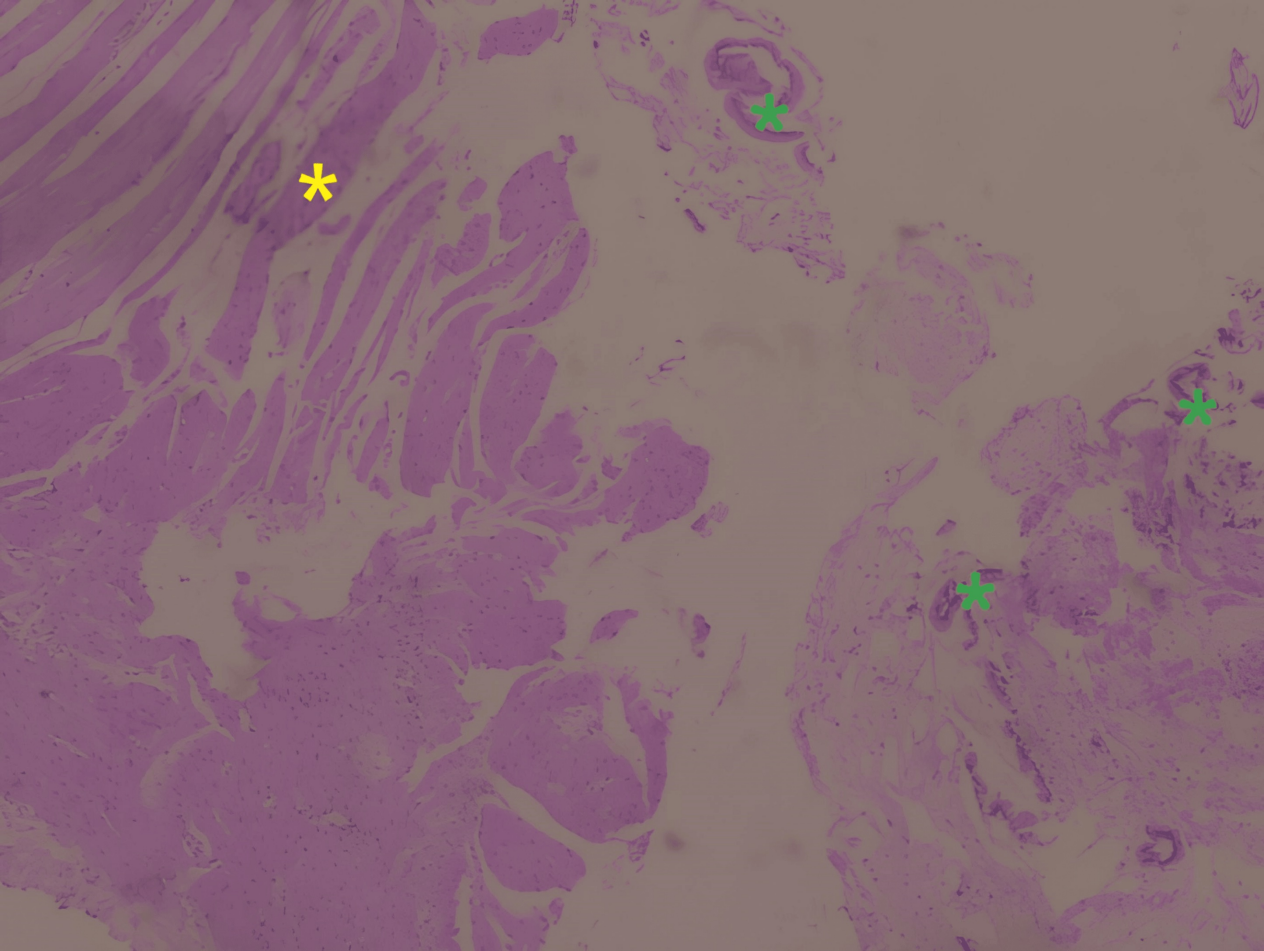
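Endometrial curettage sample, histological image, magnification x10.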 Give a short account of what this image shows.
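On the left lies a large piece of smooth muscle: broad pink bundles of fibers run in parallel fascicles, split by pale clefts, with scattered small elongated nuclei. On the right, separate from the muscle, loose and frayed pale tissue holds small curled strips of darker purple lining epithelium, folded on themselves like bits of a mucosal surface. Between the pieces is empty background where the fragments have come apart.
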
